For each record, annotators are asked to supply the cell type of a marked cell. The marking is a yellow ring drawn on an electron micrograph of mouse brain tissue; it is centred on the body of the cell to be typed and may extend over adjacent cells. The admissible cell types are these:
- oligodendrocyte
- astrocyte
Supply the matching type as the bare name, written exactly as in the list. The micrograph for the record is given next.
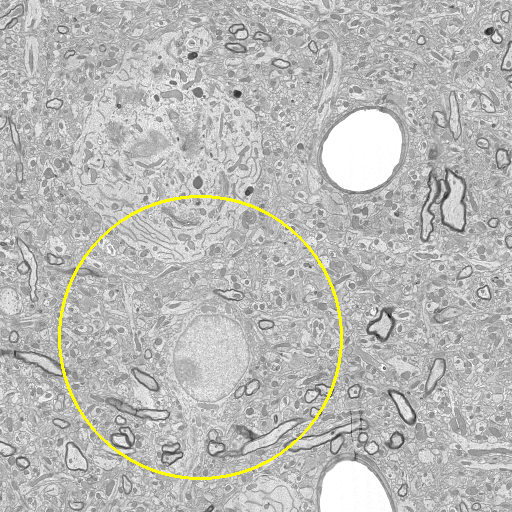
astrocyte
